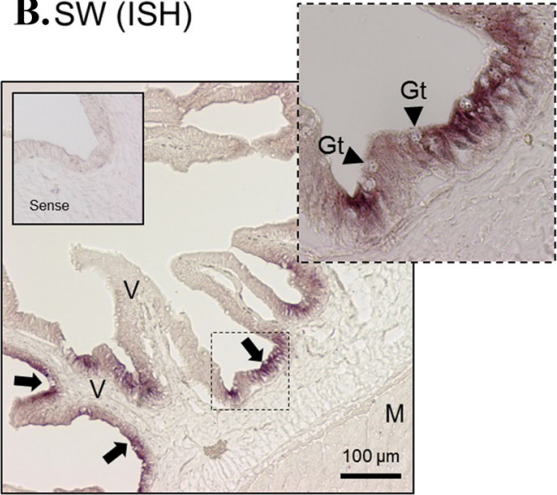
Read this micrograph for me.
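Intestinal mucosa thrown into long slender villi projecting into a wide lumen, with a band of muscle at lower right. The mucosal epithelium is a single layer of tall columnar cells; a dense dark purple product fills these cells, strongest at the bases and troughs between folds, fading toward villus tips. The connective tissue cores and muscle are nearly unstained. The enlargement shows intensely purple columnar cells with scattered pale, rounded goblet cells interposed at the surface.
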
